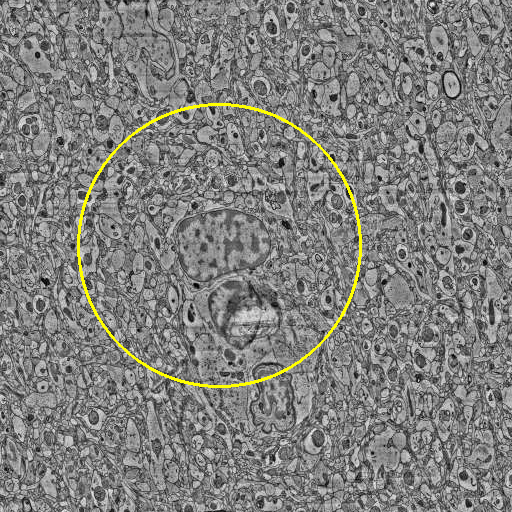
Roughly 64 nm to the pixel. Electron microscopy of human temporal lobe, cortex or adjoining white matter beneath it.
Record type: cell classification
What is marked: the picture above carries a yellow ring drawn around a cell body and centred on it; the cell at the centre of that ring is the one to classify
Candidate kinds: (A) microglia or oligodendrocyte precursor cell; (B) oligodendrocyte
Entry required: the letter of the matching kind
A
